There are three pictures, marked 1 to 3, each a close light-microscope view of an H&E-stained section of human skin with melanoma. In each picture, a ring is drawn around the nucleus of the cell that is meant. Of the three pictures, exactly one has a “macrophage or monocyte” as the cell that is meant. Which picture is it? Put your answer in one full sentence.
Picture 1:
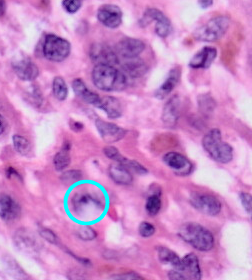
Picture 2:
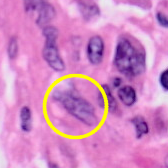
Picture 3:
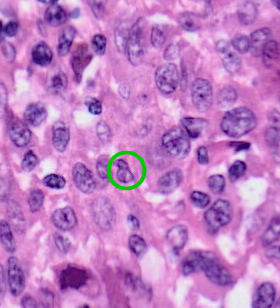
The picture with the “macrophage or monocyte” is 3.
